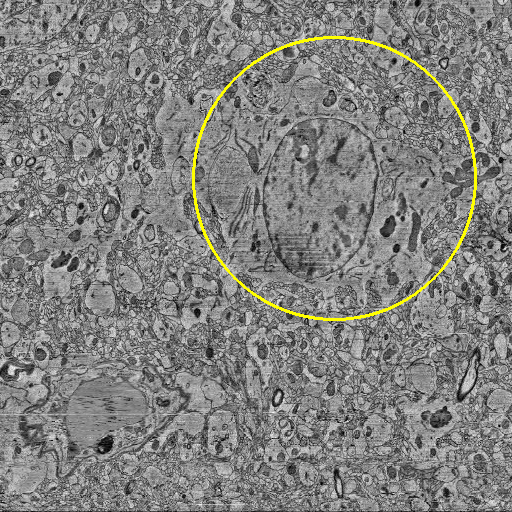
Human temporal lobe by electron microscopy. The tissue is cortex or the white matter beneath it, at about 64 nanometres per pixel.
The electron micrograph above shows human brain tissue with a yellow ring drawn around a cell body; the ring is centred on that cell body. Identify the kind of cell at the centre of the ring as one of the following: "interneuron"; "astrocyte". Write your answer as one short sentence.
The cell at the centre of the ring is an astrocyte.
